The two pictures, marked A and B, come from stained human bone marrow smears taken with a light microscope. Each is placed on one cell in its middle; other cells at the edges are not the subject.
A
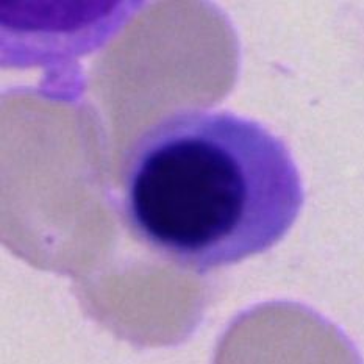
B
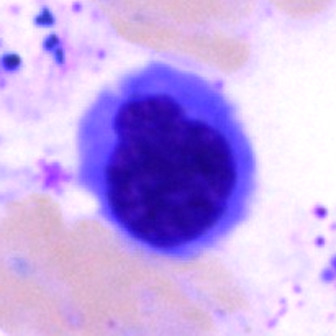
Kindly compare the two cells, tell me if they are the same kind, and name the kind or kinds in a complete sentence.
Yes, the cells at the centres of the two crops are erythroblasts.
